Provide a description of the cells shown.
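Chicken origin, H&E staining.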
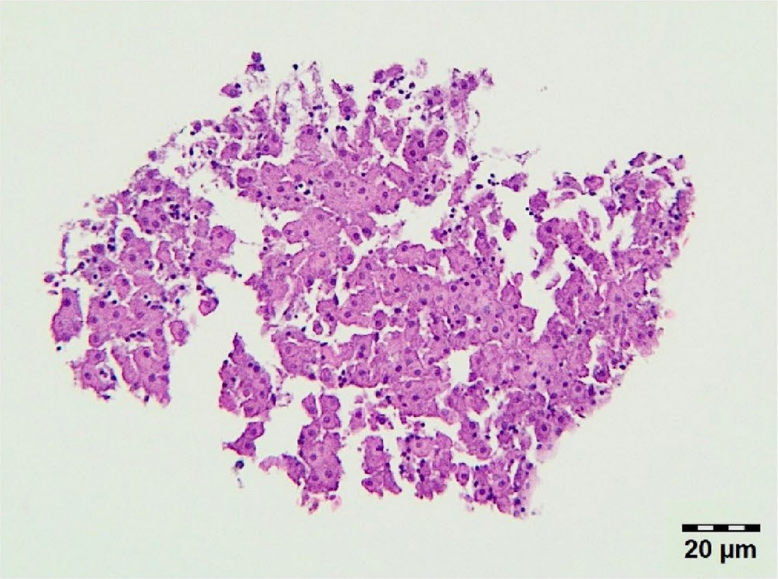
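Numerous small cells with dense dark round nuclei are scattered throughout, and they are more frequent toward the periphery. Lobules, portal tracts and vessels are absent. The edges are loose, with single detached cells.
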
